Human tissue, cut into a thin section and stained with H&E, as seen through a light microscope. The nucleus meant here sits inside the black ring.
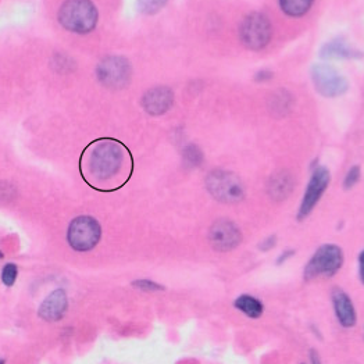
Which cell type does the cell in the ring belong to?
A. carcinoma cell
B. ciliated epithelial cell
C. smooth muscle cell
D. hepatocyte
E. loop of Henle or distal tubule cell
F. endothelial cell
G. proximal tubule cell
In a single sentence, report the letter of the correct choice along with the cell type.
Best answer: option G, with the cell in the ring being a proximal tubule cell.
